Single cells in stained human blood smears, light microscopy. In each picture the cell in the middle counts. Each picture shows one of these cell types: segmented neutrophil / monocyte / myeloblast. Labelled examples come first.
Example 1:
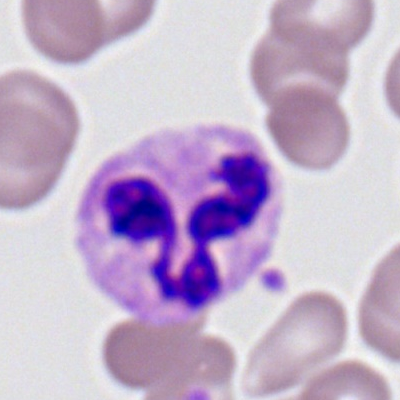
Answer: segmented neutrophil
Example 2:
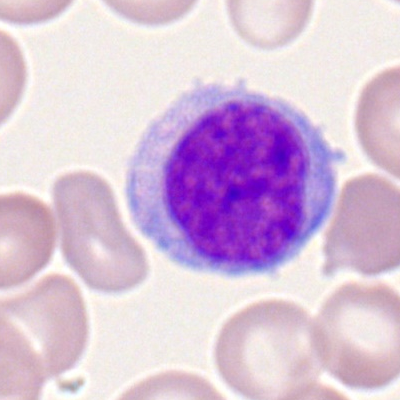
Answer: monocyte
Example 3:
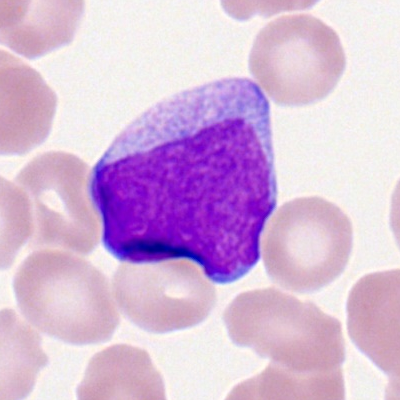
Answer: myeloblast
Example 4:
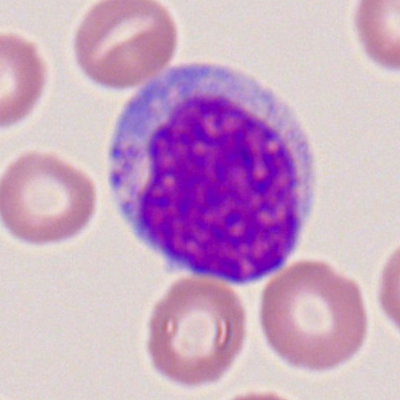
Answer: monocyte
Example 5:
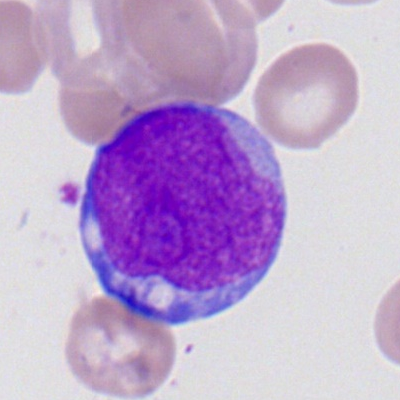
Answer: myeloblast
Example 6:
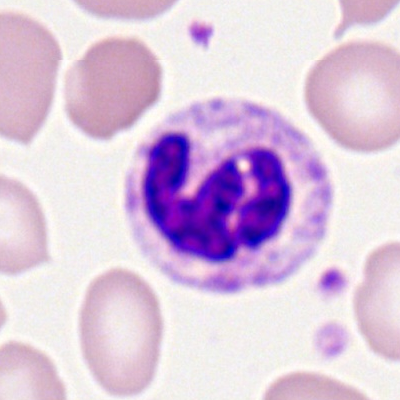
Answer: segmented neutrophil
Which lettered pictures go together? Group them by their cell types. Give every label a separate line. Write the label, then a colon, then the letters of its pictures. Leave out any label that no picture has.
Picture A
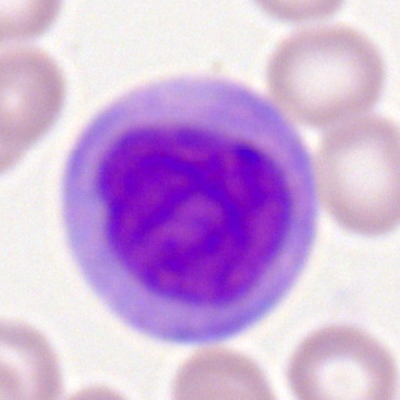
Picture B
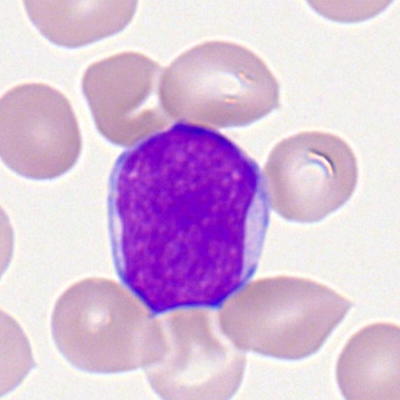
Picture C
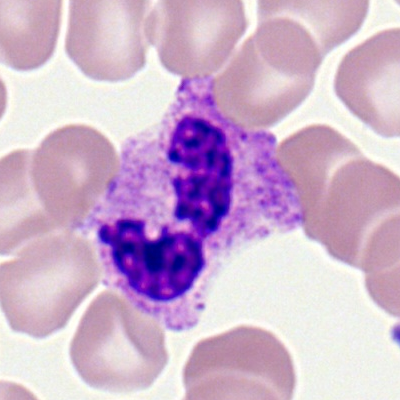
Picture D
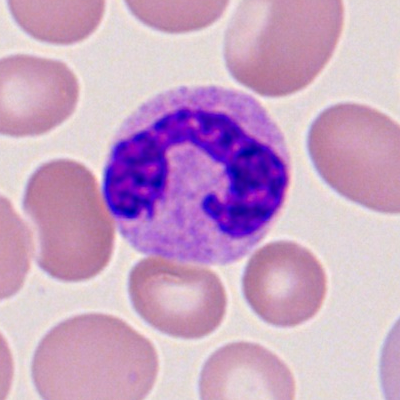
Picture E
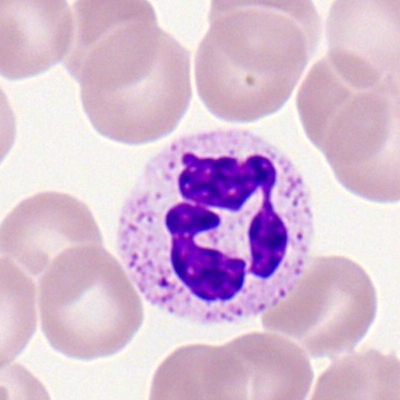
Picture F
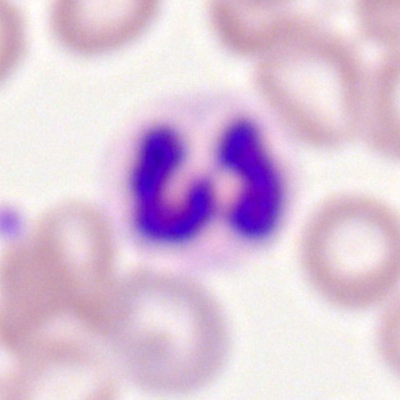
segmented neutrophil: C, D, E, F
monocyte: A
myeloblast: B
